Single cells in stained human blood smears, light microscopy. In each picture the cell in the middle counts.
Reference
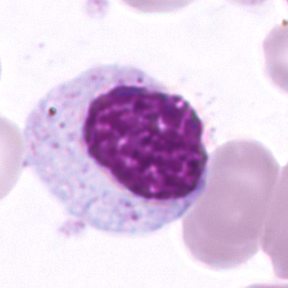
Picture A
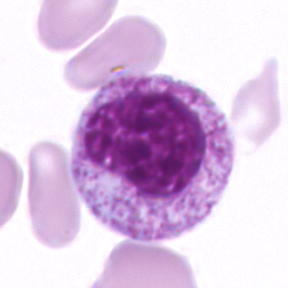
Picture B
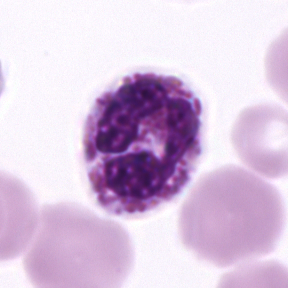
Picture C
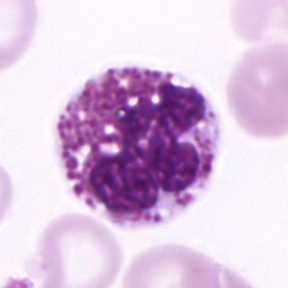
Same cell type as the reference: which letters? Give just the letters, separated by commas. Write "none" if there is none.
A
